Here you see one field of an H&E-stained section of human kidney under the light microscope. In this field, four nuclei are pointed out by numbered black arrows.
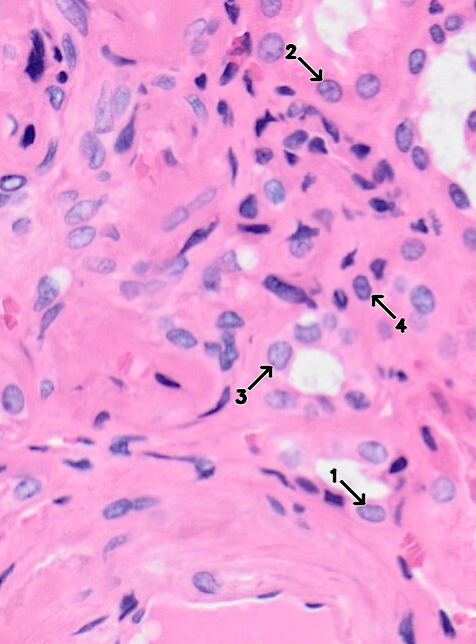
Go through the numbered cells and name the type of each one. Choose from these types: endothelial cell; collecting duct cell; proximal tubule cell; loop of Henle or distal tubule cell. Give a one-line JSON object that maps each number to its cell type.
{"1": "collecting duct cell", "2": "proximal tubule cell", "3": "collecting duct cell", "4": "collecting duct cell"}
